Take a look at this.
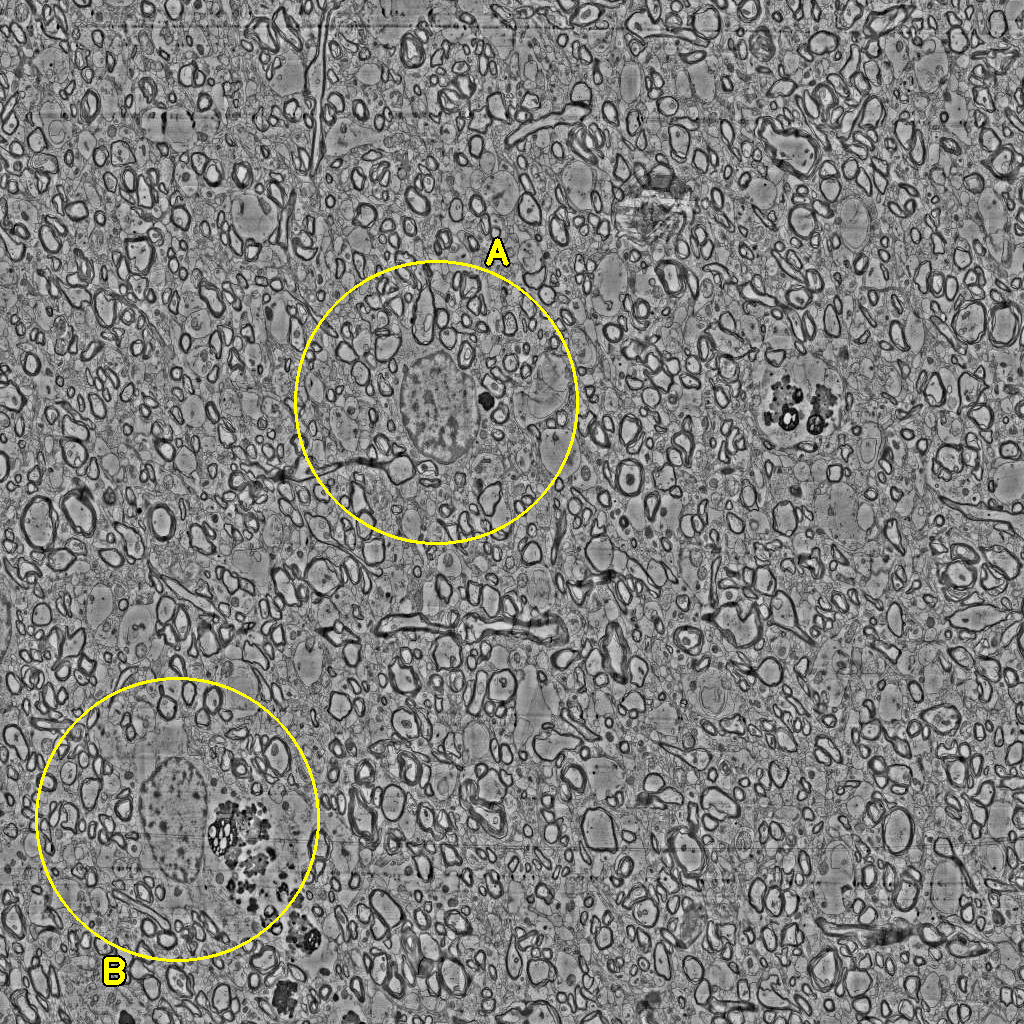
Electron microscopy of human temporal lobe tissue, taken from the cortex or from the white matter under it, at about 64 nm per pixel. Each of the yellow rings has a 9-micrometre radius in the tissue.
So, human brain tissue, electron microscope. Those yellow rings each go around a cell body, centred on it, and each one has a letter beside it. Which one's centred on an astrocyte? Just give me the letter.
B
